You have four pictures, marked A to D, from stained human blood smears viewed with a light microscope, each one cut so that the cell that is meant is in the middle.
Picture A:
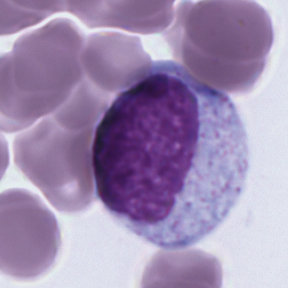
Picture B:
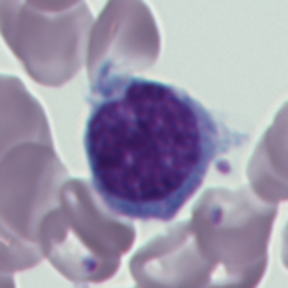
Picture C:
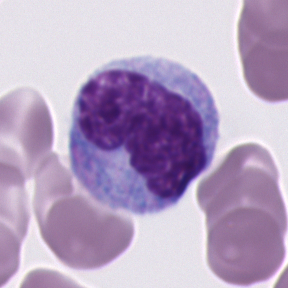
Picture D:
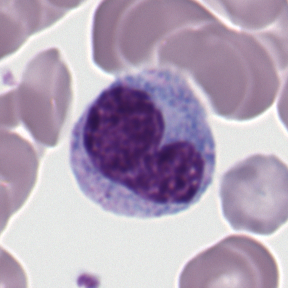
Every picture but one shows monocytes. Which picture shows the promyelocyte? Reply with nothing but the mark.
A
